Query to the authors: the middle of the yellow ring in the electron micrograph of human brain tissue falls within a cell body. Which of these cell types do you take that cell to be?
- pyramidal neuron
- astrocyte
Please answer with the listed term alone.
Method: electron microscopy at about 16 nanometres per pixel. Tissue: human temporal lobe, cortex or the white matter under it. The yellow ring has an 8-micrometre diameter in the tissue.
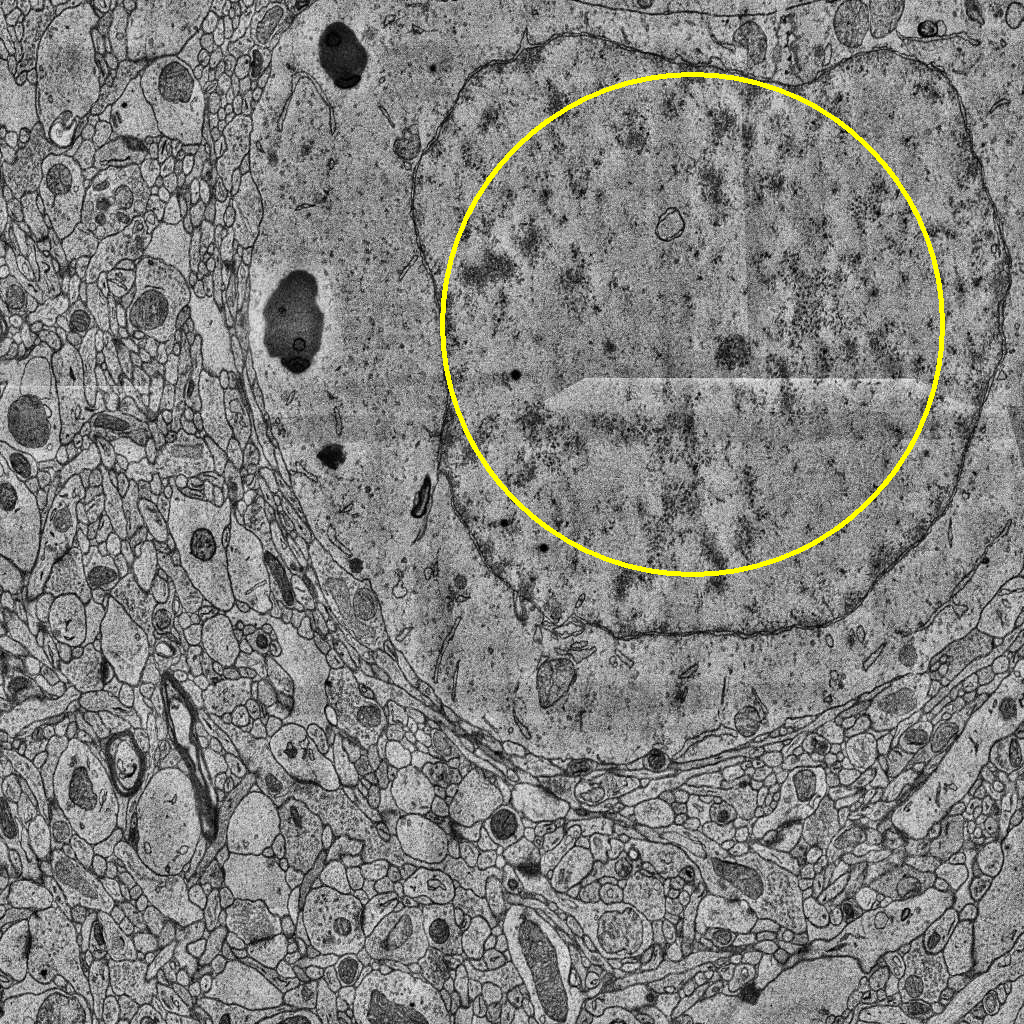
pyramidal neuron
